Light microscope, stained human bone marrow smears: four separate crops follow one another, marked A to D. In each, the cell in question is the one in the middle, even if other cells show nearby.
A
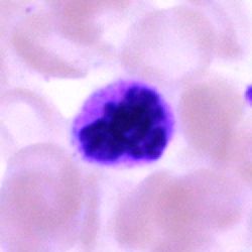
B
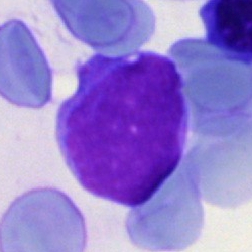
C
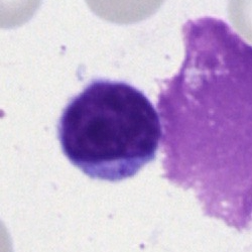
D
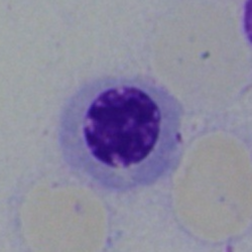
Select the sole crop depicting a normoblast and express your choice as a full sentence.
When the crops are compared, crop D is the one showing a normoblast.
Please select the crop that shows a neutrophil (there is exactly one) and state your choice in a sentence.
Of the labelled crops, the one that shows a neutrophil is crop A.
